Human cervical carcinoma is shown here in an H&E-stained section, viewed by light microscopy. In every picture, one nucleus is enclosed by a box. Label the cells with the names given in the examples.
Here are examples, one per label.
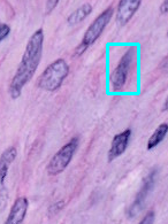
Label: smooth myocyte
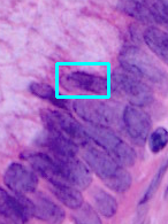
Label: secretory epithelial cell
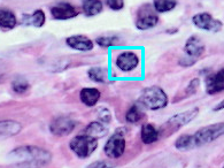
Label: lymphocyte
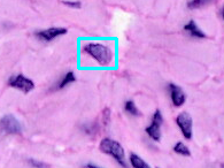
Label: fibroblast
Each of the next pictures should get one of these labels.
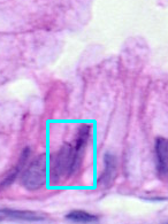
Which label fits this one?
secretory epithelial cell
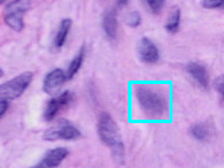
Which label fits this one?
fibroblast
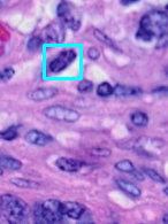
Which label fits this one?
lymphocyte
